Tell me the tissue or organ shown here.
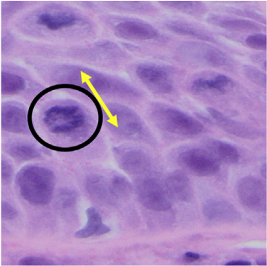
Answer: stratified epithelium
